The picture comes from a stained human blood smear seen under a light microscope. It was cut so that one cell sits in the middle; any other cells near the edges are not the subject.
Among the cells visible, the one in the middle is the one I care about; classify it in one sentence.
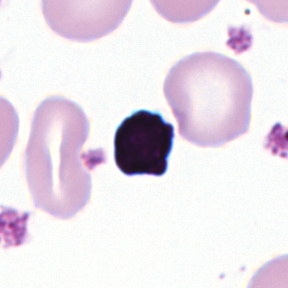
Among the cells in view, the one in the middle is a normoblast.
